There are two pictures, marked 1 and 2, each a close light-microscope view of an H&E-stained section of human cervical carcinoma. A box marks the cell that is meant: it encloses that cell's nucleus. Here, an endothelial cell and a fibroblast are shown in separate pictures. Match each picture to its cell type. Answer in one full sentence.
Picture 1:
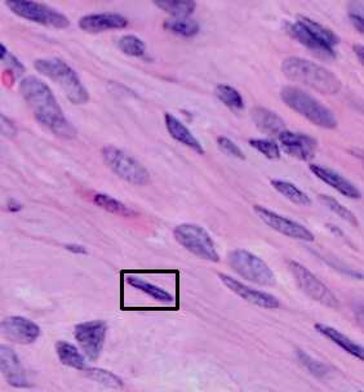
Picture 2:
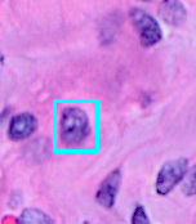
Picture 1 is of a fibroblast, and picture 2 is of an endothelial cell.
